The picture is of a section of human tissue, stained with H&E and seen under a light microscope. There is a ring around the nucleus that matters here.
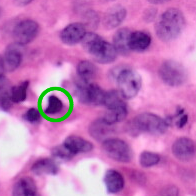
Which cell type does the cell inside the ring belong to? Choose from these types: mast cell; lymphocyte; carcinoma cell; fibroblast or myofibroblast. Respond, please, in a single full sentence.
So far as cell type goes, the cell inside the ring is a carcinoma cell.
